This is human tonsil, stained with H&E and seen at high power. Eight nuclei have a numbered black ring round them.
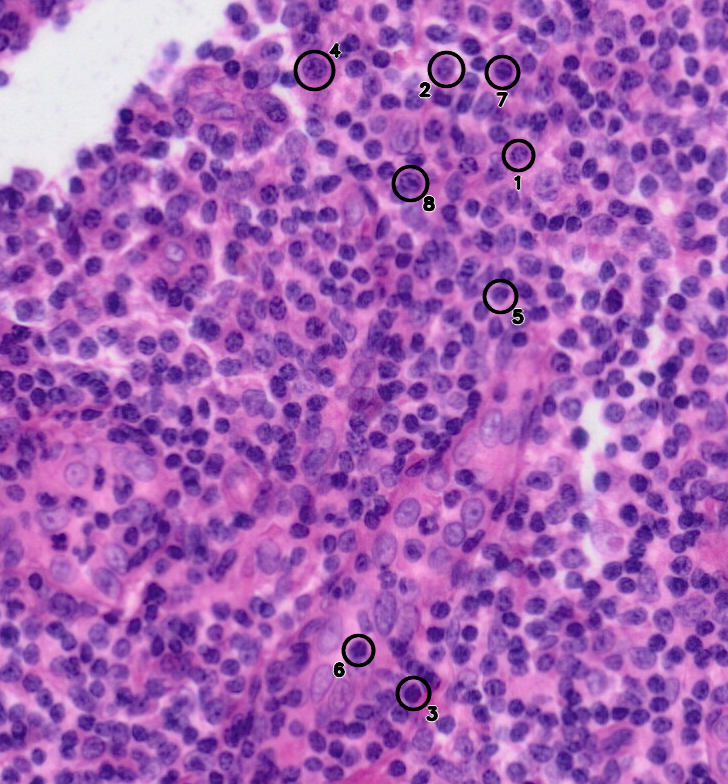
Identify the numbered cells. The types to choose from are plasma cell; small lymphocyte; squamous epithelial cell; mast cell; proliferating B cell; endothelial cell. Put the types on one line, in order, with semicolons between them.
plasma cell; plasma cell; small lymphocyte; plasma cell; small lymphocyte; endothelial cell; plasma cell; plasma cell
